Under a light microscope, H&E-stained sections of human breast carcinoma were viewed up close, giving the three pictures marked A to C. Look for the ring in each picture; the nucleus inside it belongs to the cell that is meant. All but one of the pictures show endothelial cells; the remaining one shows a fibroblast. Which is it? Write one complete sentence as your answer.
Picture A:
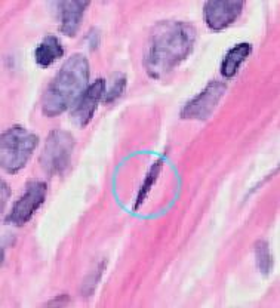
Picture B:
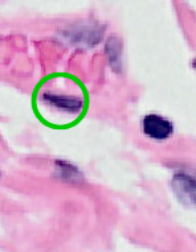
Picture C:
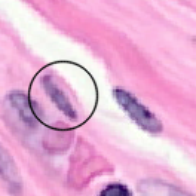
Picture A shows the fibroblast.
